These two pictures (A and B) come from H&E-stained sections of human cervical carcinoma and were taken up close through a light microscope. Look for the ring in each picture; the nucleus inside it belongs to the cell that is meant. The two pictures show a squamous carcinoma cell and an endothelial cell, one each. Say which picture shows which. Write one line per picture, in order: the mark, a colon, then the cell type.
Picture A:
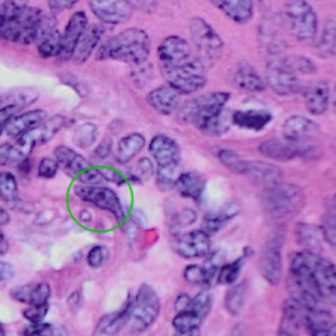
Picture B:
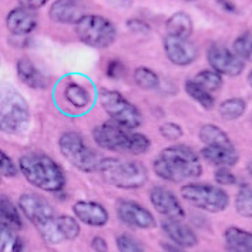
A: endothelial cell
B: squamous carcinoma cell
